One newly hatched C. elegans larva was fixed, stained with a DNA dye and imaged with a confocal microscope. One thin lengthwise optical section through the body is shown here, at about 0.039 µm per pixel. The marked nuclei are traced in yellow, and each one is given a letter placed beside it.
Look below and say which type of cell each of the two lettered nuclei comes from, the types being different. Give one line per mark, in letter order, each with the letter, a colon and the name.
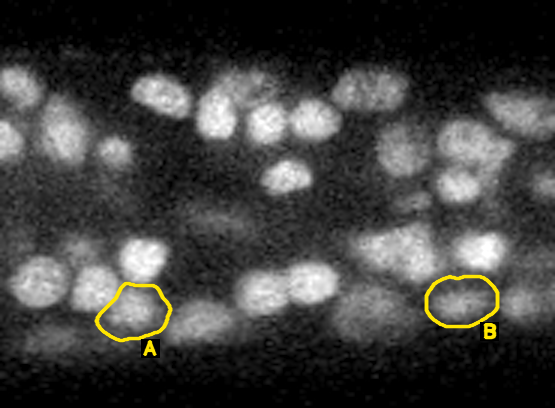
A: neuron
B: hypodermal cell (hyp)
